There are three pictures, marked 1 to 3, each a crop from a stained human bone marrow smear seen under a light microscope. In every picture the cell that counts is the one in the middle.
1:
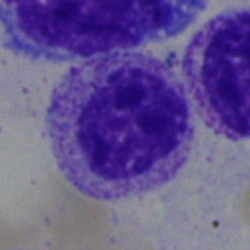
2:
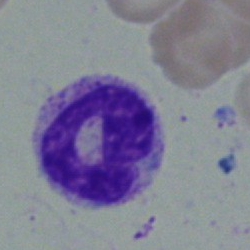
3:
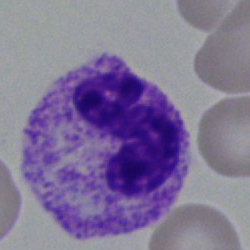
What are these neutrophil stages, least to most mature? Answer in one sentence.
The sequence in which maturity rises is crop 1 (a myelocyte), crop 2 (a band neutrophil) and crop 3 (a segmented neutrophil).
